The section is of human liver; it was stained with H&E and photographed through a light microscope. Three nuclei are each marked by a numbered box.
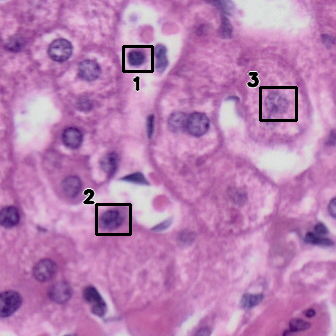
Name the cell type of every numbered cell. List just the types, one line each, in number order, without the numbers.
lymphocyte
Kupffer cell
hepatocyte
